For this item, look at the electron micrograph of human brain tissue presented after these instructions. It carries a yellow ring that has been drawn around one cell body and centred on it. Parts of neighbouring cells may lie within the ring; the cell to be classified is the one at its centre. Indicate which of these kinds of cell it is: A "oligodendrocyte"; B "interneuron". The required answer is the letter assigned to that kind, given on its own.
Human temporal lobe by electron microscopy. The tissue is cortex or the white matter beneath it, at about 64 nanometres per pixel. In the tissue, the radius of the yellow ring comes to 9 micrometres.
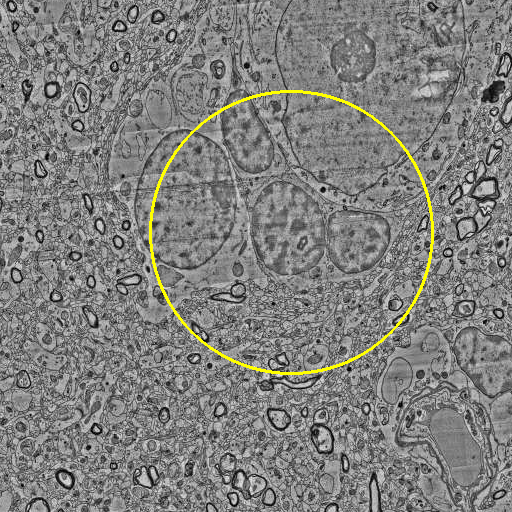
A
